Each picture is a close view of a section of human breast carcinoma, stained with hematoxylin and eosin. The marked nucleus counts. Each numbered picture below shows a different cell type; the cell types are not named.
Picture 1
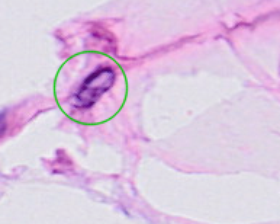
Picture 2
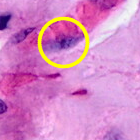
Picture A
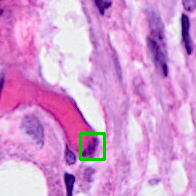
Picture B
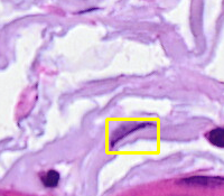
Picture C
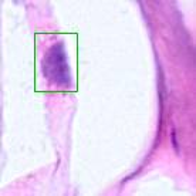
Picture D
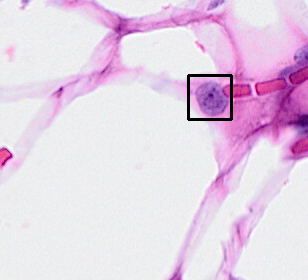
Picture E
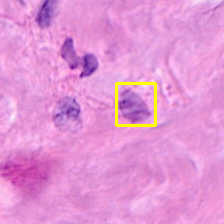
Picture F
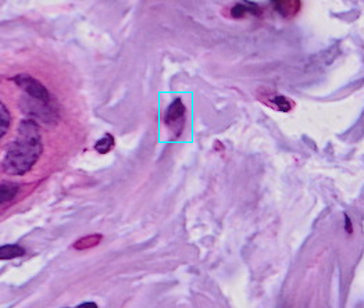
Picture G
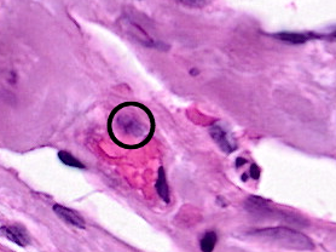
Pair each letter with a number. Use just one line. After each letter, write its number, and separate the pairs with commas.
A 2, B 1, C 2, D 2, E 1, F 1, G 2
